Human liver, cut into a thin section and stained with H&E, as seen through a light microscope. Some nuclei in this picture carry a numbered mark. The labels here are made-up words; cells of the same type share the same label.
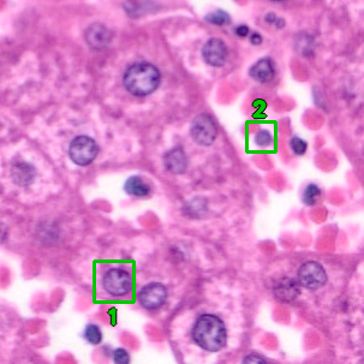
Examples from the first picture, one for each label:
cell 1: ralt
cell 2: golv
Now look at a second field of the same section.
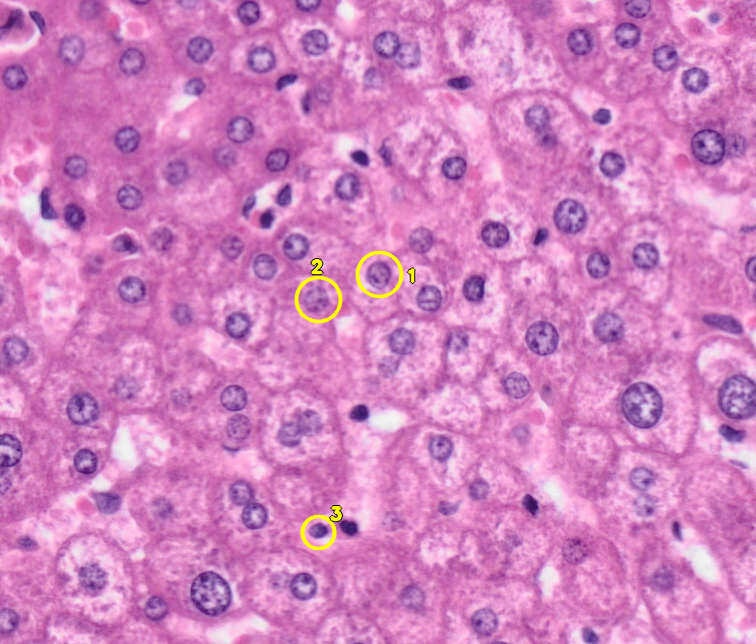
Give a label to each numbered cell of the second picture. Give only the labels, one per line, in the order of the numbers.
ralt
ralt
golv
